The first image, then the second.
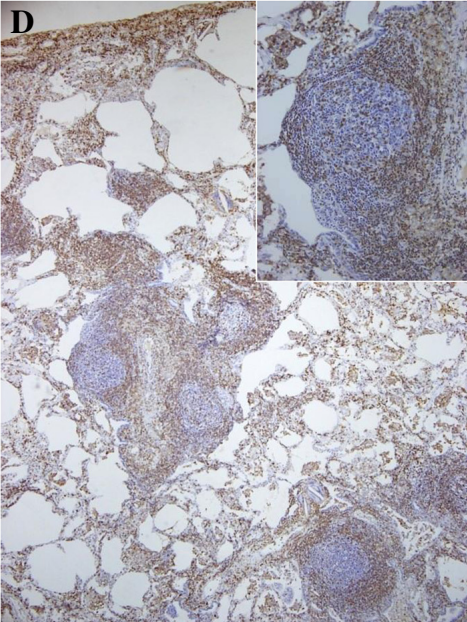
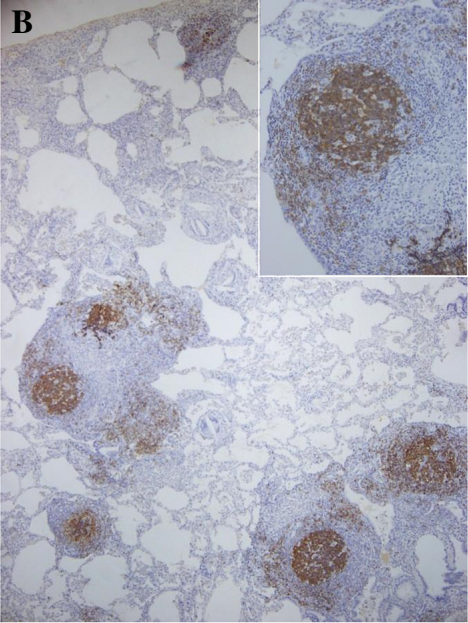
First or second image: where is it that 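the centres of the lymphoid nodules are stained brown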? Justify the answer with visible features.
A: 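First image: nodule centres are pale blue, with brown cells around them and in the alveolar walls. Second image: nodule centres are solid brown, while the alveolar walls are mostly unstained.
Conclusion: the second image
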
